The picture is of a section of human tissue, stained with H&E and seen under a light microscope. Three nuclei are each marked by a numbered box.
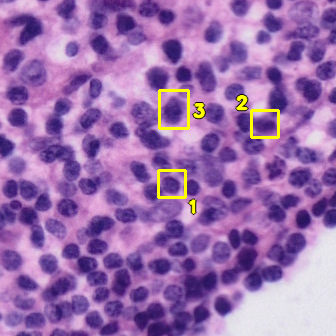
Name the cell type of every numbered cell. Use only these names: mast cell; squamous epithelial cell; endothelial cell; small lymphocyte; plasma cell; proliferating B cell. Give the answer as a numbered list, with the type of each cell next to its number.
1. small lymphocyte
2. proliferating B cell
3. proliferating B cell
